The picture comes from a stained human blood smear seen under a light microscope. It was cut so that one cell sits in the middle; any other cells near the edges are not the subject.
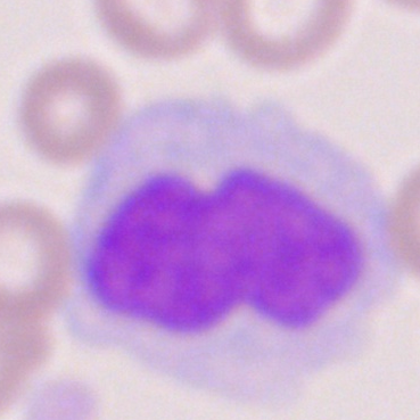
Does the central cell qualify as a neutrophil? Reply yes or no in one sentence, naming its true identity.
No, the cell in the middle is a monocyte, not a neutrophil.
